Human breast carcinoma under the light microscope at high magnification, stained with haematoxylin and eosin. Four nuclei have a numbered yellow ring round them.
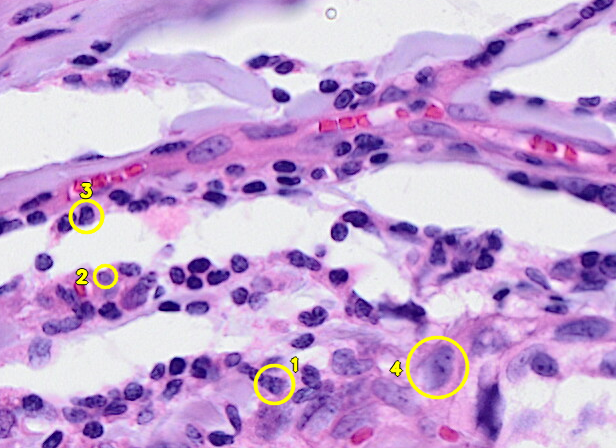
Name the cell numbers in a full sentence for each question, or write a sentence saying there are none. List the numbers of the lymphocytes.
The cells numbered 1 and 3 are of one kind: lymphocytes.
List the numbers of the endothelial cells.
Cell 2 is an endothelial cell, while every other numbered cell is not.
